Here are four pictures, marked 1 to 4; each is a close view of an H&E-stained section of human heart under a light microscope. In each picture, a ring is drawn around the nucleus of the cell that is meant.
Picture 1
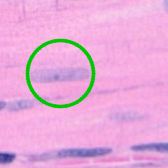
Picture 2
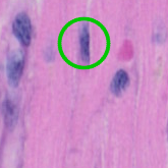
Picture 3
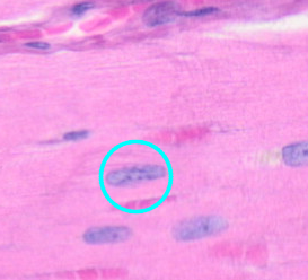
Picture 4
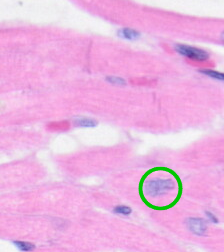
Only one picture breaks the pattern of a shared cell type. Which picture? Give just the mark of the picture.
2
